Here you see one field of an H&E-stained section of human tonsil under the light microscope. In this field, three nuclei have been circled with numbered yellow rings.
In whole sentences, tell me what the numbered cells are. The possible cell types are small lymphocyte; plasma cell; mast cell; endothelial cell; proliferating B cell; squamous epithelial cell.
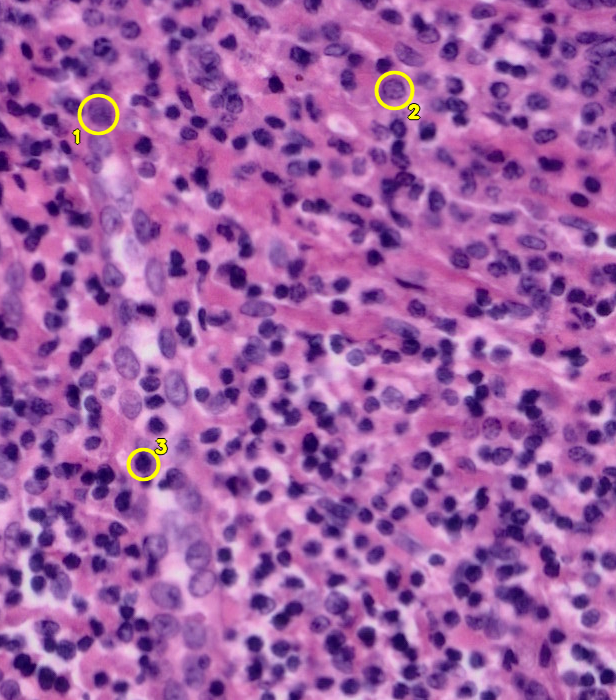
Cell 1 is an endothelial cell, cell 2 is a plasma cell and cell 3 is an endothelial cell.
